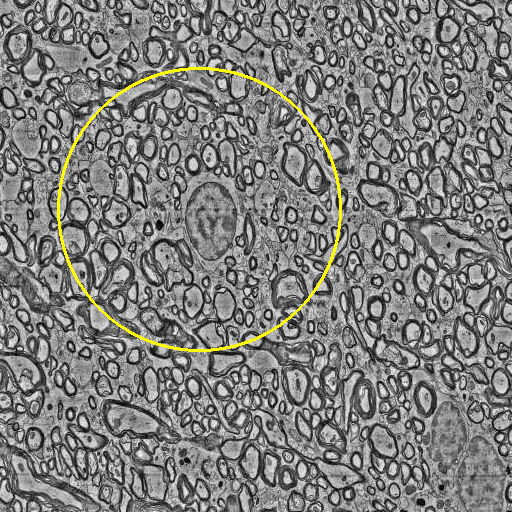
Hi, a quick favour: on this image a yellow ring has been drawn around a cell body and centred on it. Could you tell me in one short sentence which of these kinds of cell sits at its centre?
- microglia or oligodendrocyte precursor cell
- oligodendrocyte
The ring is centred on a microglial cell or oligodendrocyte precursor cell.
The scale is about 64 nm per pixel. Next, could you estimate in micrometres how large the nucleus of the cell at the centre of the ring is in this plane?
The ringed cell's nucleus measures approximately 5 by 4 micrometres in this plane.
